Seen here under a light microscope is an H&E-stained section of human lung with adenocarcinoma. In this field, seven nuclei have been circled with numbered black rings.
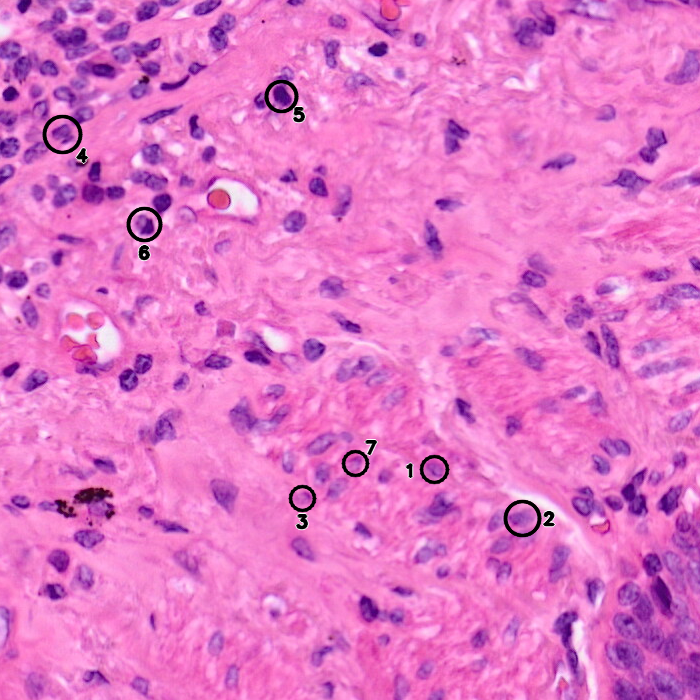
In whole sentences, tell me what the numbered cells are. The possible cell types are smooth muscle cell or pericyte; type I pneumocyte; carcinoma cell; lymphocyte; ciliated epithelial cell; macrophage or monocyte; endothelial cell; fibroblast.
Cell 1 is a smooth muscle cell or pericyte, cell 2 is a smooth muscle cell or pericyte, cell 3 is a smooth muscle cell or pericyte, cell 4 is a lymphocyte, cell 5 is a lymphocyte, cell 6 is a lymphocyte and cell 7 is a smooth muscle cell or pericyte.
